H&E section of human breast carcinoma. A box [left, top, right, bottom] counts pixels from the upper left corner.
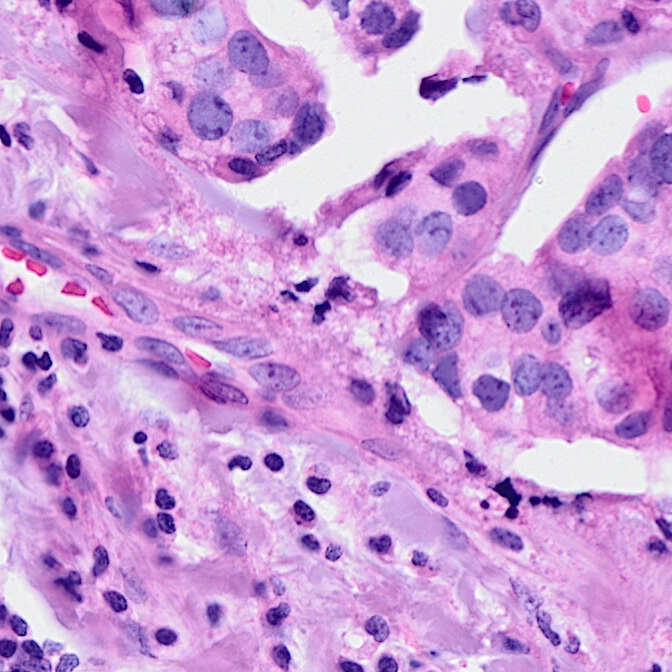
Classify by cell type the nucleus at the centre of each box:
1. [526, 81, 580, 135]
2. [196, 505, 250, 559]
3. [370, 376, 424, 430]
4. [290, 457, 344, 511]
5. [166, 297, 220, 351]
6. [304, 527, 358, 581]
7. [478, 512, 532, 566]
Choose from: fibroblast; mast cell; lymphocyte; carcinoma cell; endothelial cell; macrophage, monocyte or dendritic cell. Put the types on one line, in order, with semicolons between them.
endothelial cell; fibroblast; carcinoma cell; lymphocyte; endothelial cell; mast cell; mast cell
